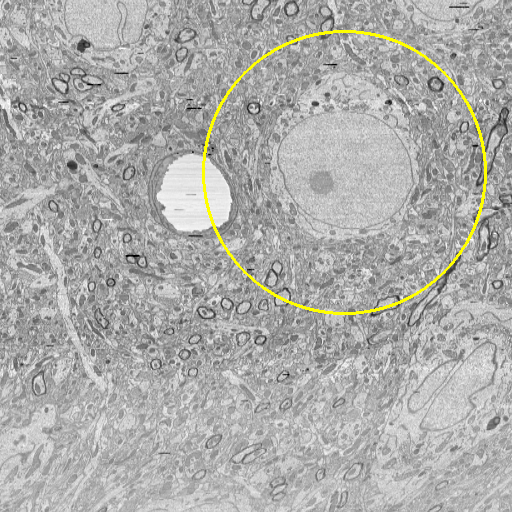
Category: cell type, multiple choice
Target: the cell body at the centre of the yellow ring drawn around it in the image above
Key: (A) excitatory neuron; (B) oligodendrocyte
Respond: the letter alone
A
